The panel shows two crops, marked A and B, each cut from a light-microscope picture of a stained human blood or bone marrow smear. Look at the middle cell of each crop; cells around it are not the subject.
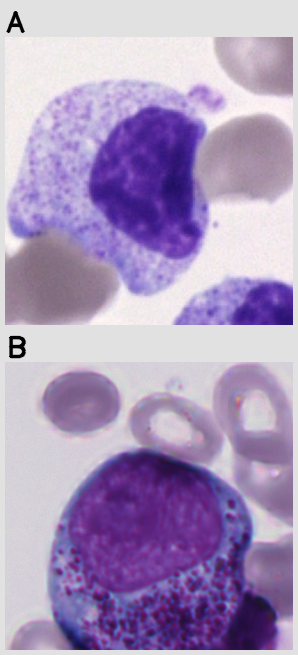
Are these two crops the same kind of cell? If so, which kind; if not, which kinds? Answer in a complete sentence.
No, whereas crop A shows a myelocyte, crop B shows a promyelocyte.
